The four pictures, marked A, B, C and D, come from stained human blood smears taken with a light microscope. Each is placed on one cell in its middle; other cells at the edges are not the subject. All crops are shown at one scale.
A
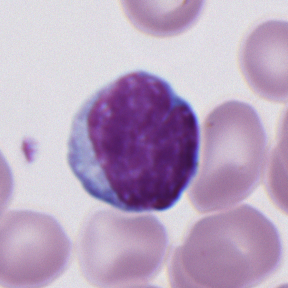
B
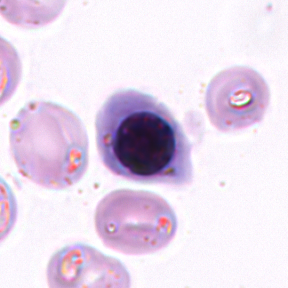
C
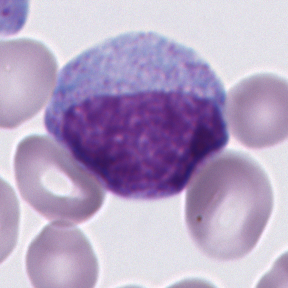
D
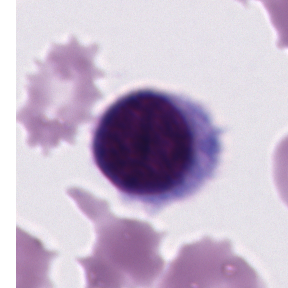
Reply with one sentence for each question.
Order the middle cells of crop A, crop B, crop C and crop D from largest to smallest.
Largest first: C, A, D, B.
